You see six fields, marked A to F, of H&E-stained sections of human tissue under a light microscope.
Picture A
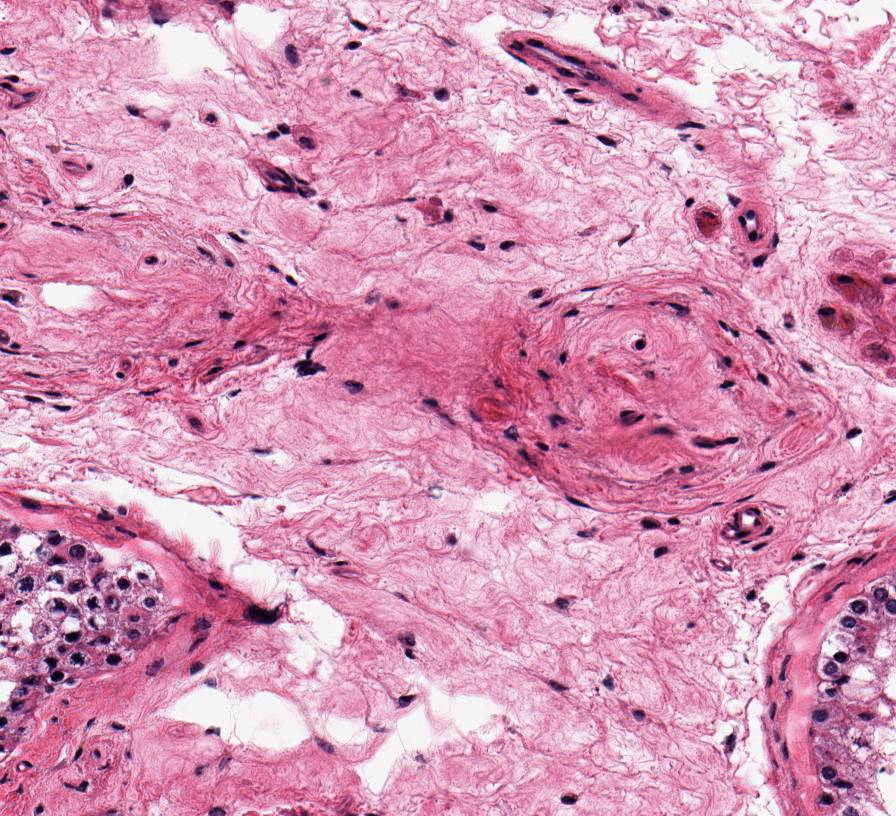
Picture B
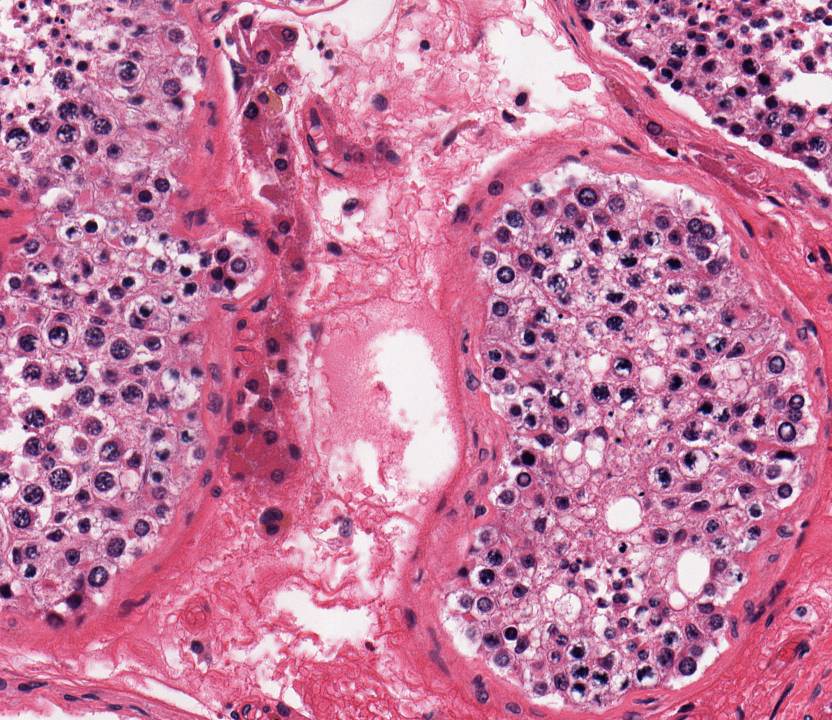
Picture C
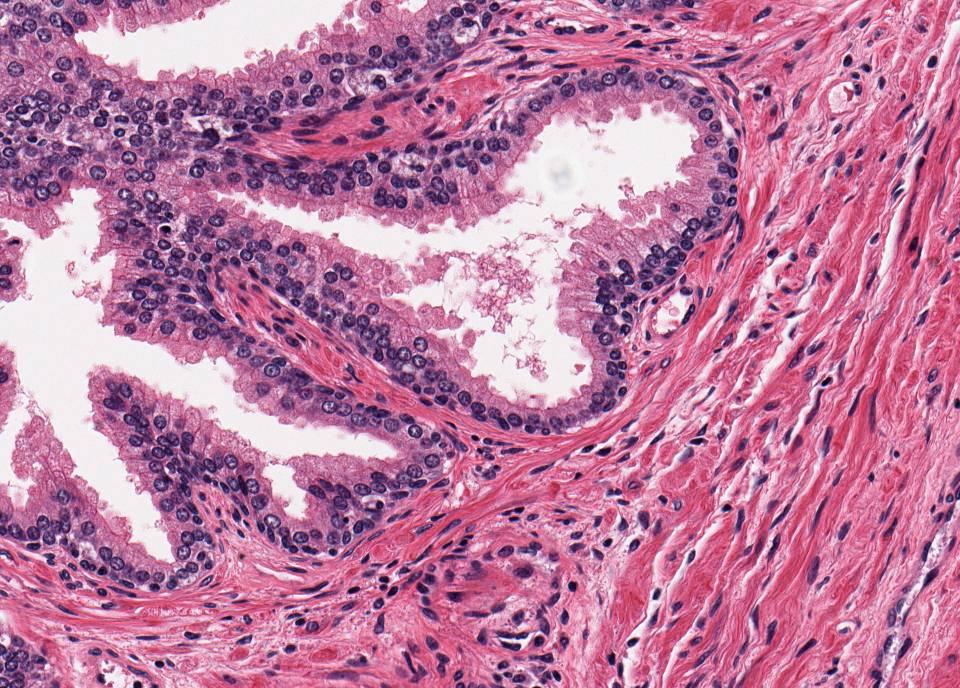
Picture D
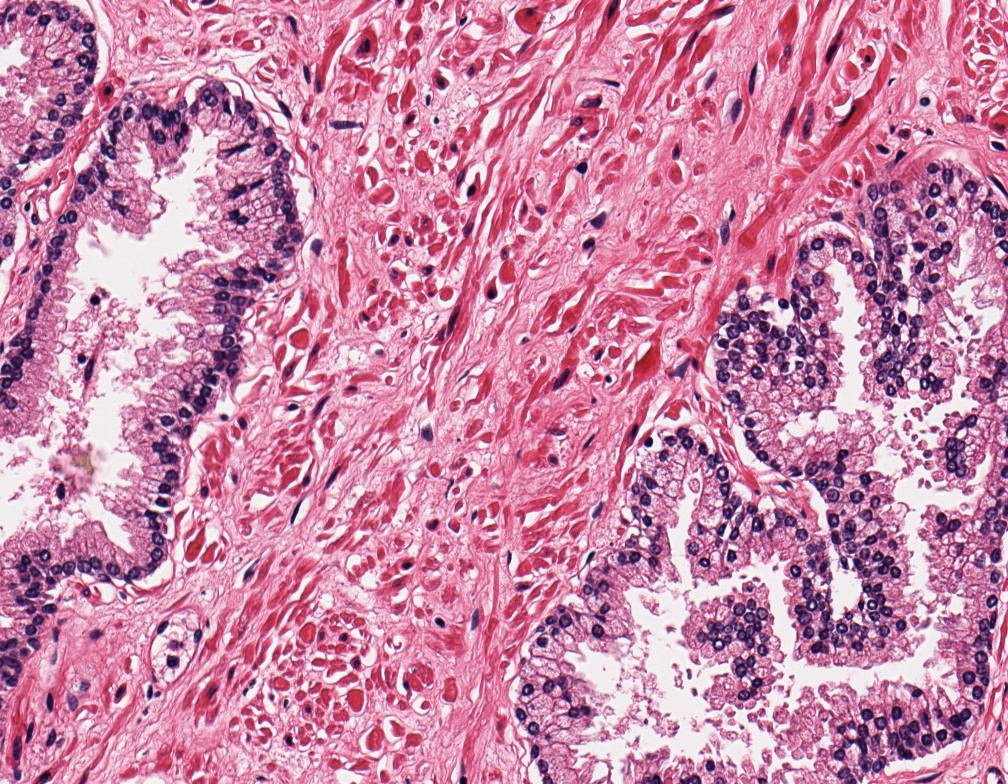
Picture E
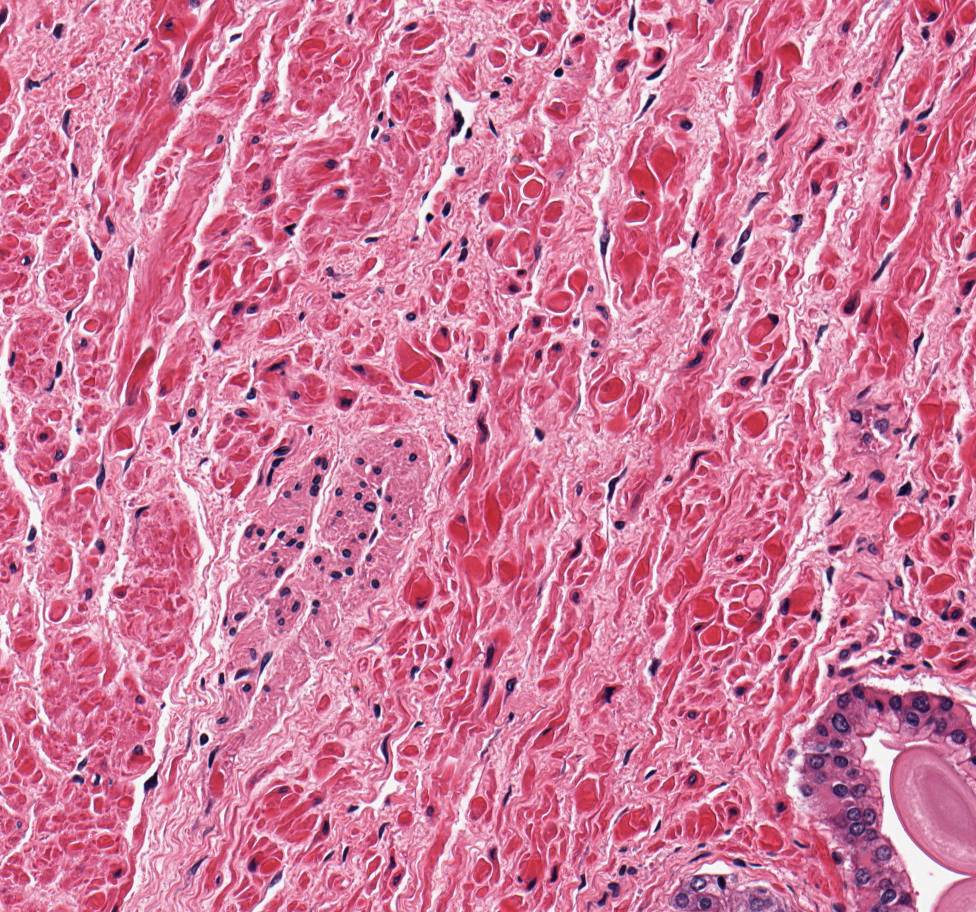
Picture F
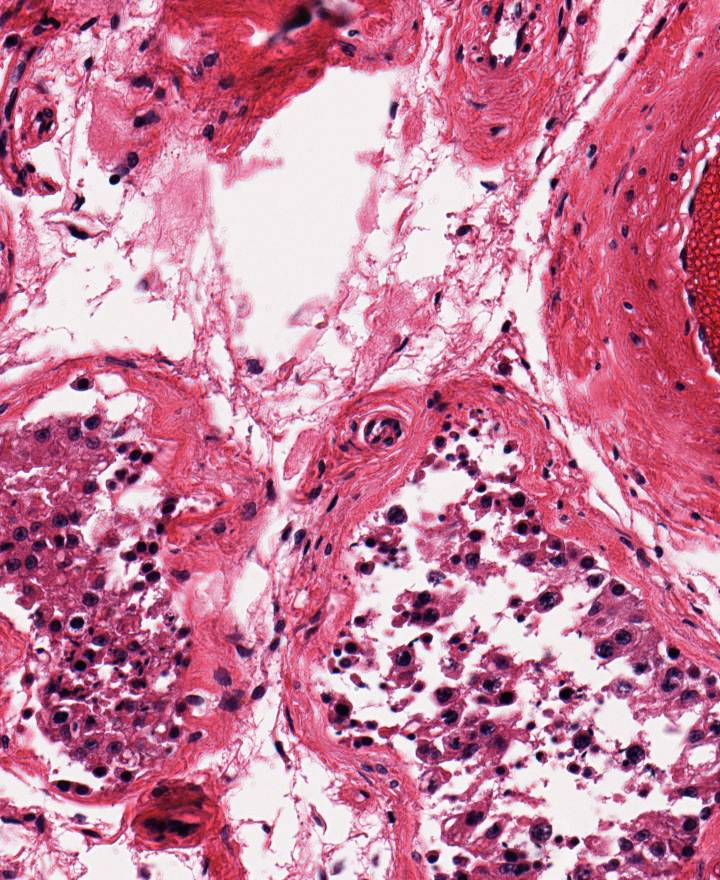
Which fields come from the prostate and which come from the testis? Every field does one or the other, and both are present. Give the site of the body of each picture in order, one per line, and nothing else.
testis
testis
prostate
prostate
prostate
testis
